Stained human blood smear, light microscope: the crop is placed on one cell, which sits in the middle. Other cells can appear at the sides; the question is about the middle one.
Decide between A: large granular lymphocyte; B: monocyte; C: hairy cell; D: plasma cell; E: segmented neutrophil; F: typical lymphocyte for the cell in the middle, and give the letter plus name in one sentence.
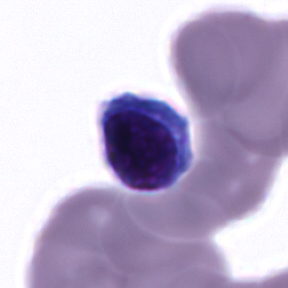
The cell in the middle is a plasma cell, and so option D is correct.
